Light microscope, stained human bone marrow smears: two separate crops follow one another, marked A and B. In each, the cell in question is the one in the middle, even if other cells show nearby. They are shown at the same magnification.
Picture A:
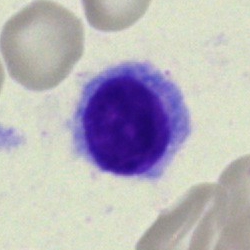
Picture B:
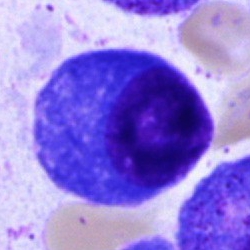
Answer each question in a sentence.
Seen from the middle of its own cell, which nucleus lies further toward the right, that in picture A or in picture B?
In picture B the nucleus is shifted more toward the right.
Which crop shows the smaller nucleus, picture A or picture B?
It is the nucleus in picture A; the one in picture B has about 1.5 times its area.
